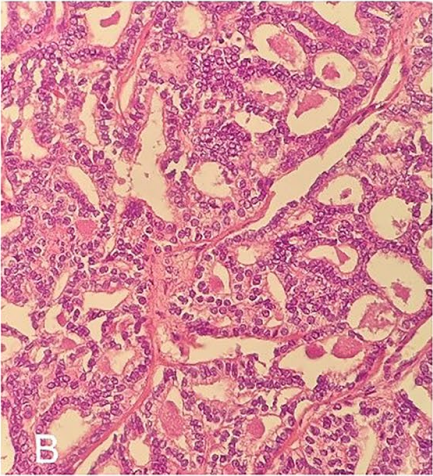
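Tumor cells form closely packed small follicles and branching, slit-like spaces. Each space is lined by a single layer of cuboidal cells with round to oval nuclei that are crowded and partly overlapping. Several follicles contain pale pink material, sometimes retracted from the lining cells. Thin pink fibrous septa with narrow vascular spaces run between groups of follicles. Little stroma lies between the follicles themselves, giving a crowded, back-to-back arrangement. Cytoplasm is scant to moderate and pale pink.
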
